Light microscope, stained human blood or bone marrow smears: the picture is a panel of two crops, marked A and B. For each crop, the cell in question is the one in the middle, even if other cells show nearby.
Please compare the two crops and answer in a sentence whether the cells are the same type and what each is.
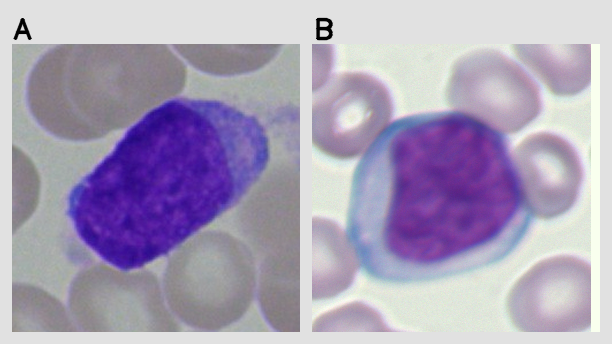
Yes, the pair of crops both show blasts.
